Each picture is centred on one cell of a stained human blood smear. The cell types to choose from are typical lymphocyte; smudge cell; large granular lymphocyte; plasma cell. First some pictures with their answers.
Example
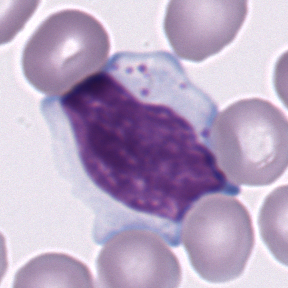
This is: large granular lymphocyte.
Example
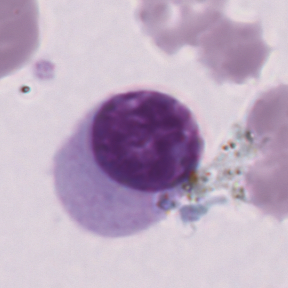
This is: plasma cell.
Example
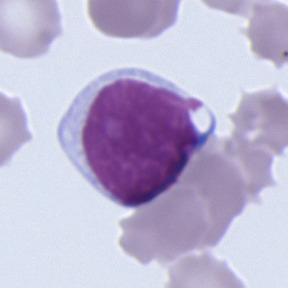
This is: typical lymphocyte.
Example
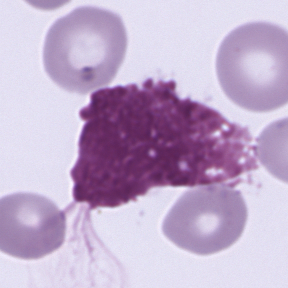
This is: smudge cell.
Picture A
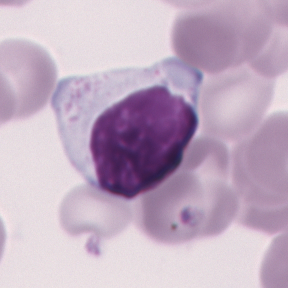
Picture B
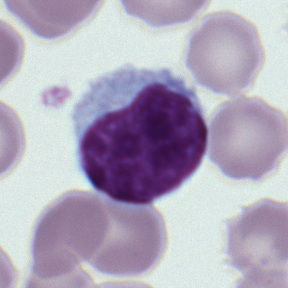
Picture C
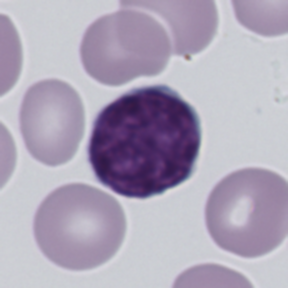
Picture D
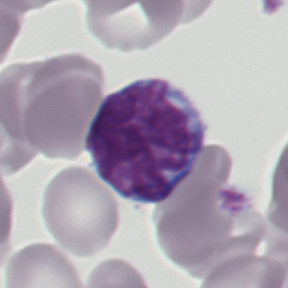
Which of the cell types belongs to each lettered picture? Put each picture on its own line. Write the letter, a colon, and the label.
A: large granular lymphocyte.
B: typical lymphocyte.
C: typical lymphocyte.
D: typical lymphocyte.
